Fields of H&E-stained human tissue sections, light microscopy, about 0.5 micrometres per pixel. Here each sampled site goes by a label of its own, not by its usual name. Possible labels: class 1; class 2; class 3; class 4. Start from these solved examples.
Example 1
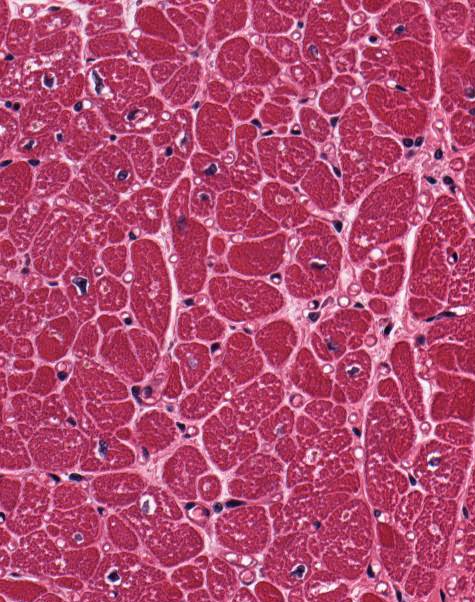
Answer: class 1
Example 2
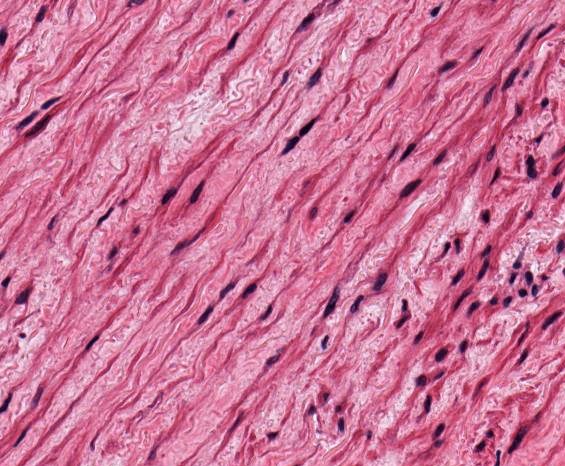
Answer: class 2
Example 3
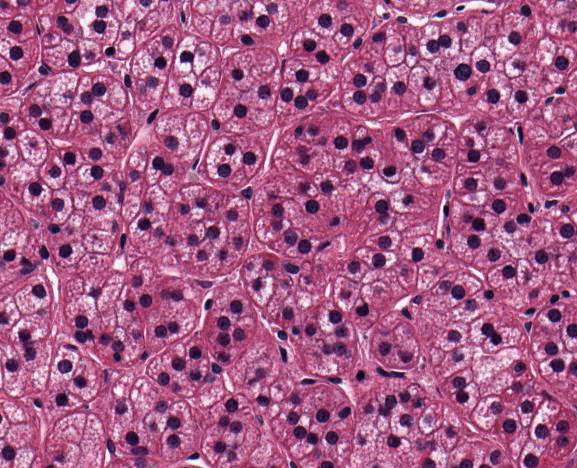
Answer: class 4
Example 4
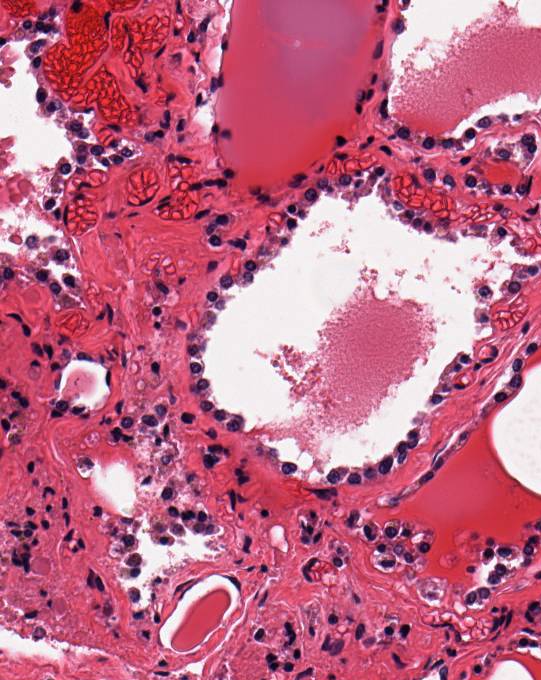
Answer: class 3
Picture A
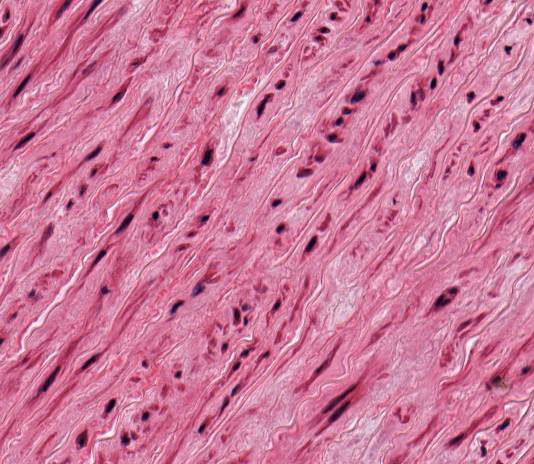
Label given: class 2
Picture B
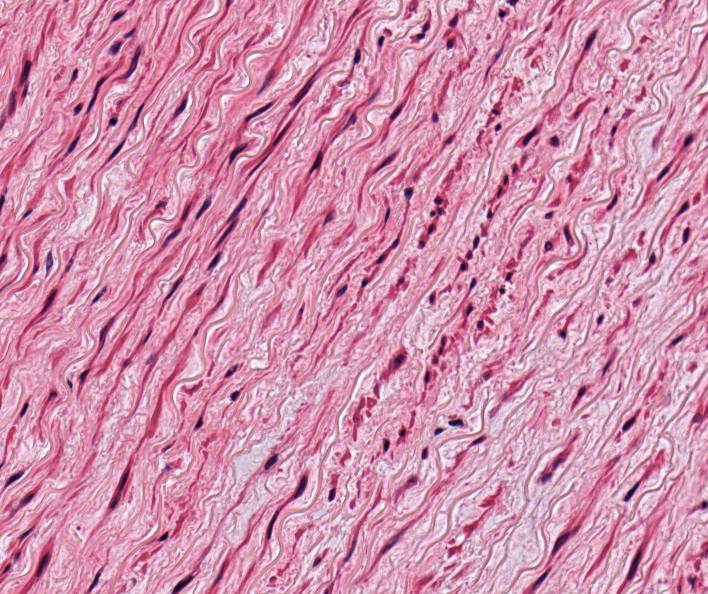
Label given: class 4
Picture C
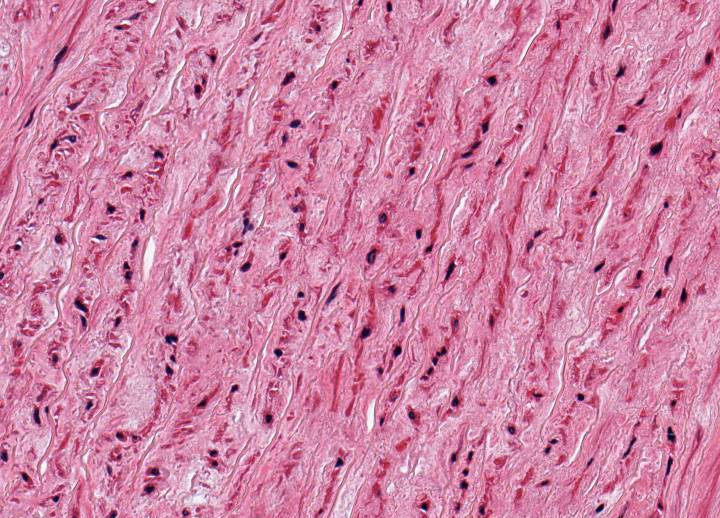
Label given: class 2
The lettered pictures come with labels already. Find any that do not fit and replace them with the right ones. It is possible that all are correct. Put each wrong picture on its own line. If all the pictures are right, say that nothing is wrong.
B: not class 4 but class 2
